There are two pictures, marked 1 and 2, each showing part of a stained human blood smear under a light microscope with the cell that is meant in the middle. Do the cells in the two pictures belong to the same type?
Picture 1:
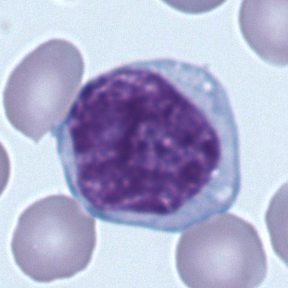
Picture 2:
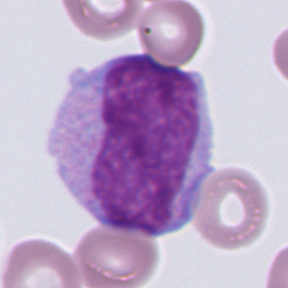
no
